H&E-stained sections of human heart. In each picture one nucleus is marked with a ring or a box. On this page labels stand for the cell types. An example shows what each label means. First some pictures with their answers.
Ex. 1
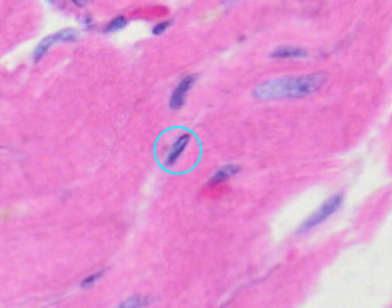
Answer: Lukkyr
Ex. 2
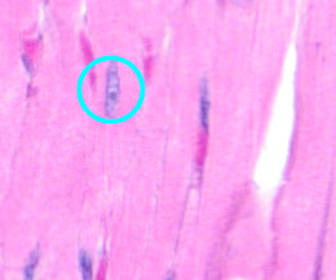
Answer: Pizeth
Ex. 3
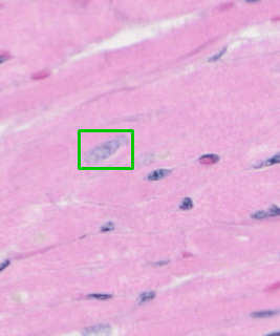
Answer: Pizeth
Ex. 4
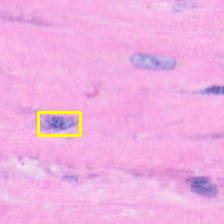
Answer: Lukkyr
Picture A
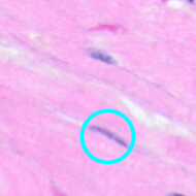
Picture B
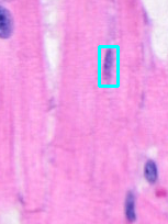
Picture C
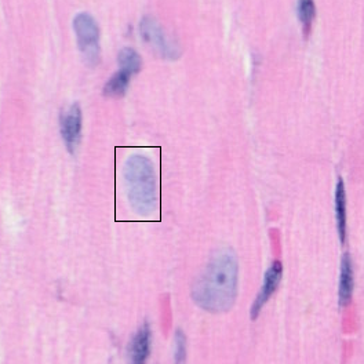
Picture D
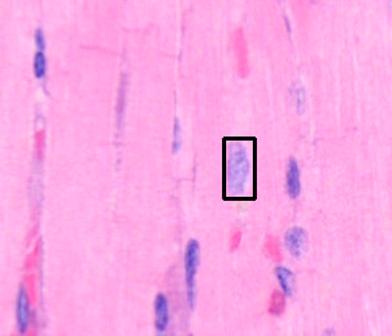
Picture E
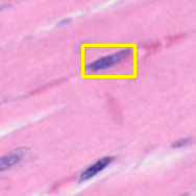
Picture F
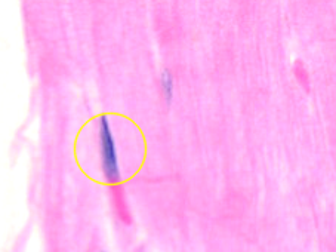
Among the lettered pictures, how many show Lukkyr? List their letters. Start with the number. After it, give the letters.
Count: 4 (A, B, E, F)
